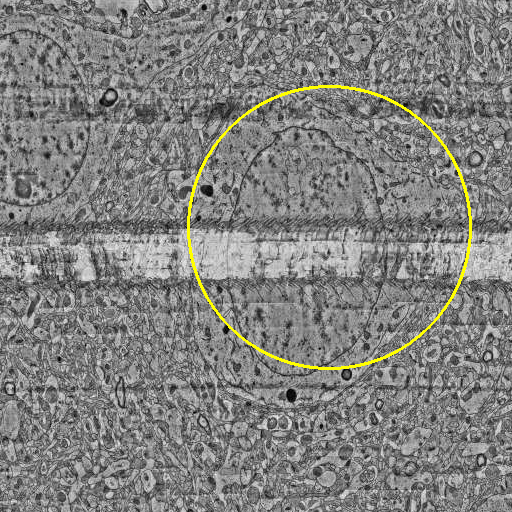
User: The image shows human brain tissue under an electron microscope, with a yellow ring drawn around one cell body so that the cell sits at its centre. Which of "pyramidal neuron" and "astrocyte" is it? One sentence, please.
At the centre of the ring sits a pyramidal neuron.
